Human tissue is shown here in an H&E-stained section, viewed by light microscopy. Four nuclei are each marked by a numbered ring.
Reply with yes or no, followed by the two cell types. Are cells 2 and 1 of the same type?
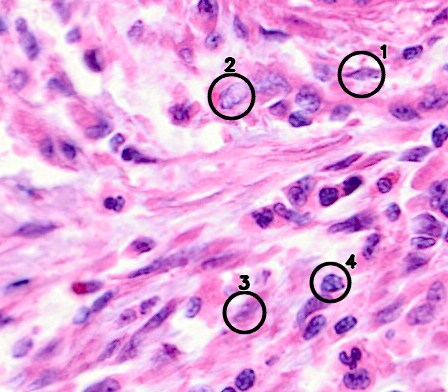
No, cell 2 is an endothelial cell whereas cell 1 is a fibroblast.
